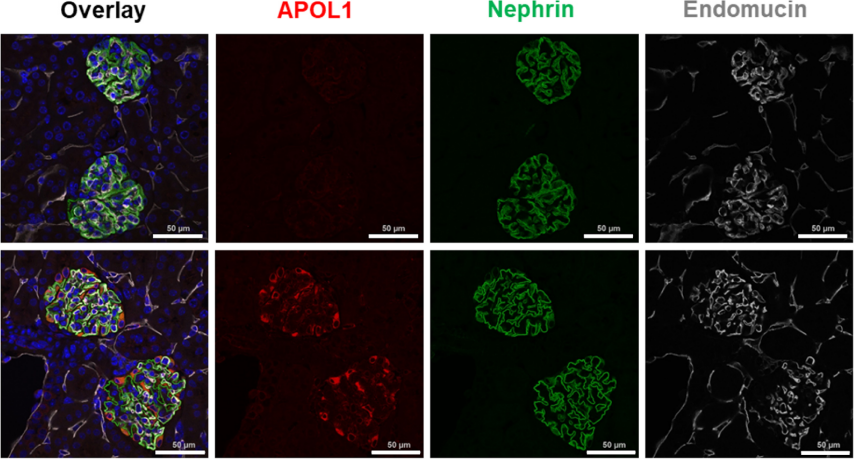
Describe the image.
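This is kidney cortex with two rounded glomerular tufts in each image, set among surrounding tissue dotted with small blue nuclei. In each tuft, green lines trace tightly folded, convoluted capillary loops. White outlines mark the loops inside the tufts and also thin vessel profiles in the tissue between the glomeruli. In the lower row, red is scattered through both glomerular tufts, lying along the loops, while the surrounding tissue stays largely free of red.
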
